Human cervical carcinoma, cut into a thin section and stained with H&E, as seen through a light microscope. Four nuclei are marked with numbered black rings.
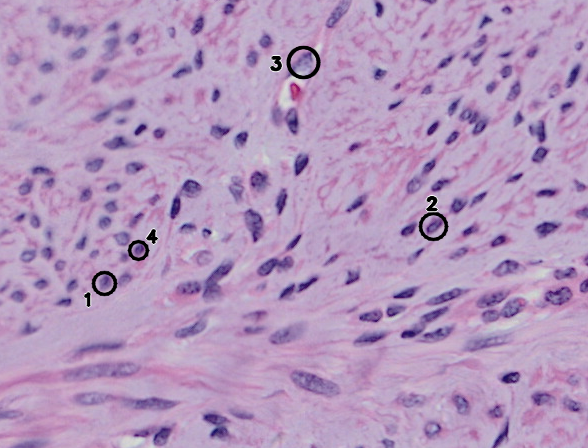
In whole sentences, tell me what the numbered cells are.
Cells 1, 2 and 4 are smooth muscle cells. Cell 3 is an endothelial cell.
